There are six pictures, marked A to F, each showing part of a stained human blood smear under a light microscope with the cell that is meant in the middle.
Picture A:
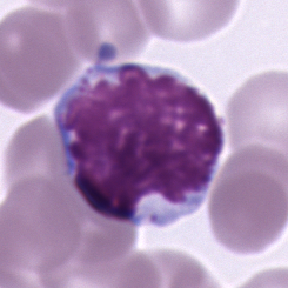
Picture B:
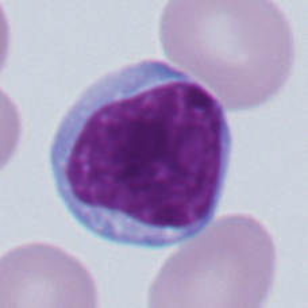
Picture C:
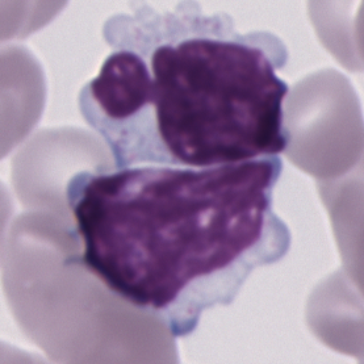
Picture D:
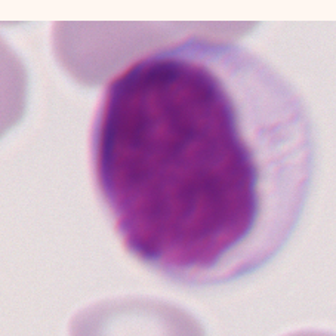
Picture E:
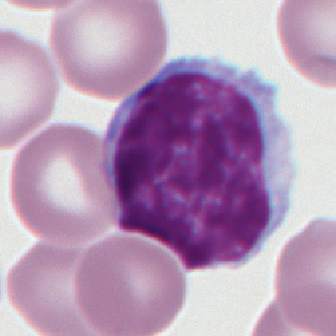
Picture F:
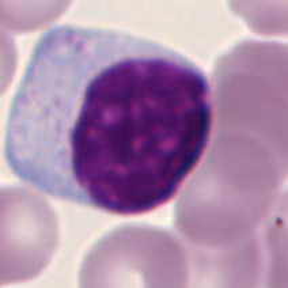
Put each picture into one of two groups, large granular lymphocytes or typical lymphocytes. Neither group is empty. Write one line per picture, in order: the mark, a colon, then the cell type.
A: large granular lymphocyte
B: typical lymphocyte
C: large granular lymphocyte
D: large granular lymphocyte
E: typical lymphocyte
F: large granular lymphocyte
